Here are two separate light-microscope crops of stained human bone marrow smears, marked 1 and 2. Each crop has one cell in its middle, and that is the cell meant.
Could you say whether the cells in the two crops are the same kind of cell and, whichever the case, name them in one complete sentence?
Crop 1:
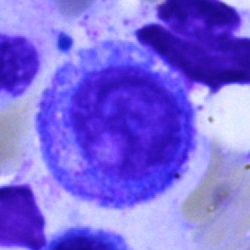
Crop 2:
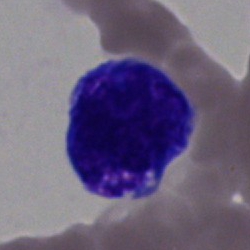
Yes, with regard to both crops, the central cells are promyelocytes.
